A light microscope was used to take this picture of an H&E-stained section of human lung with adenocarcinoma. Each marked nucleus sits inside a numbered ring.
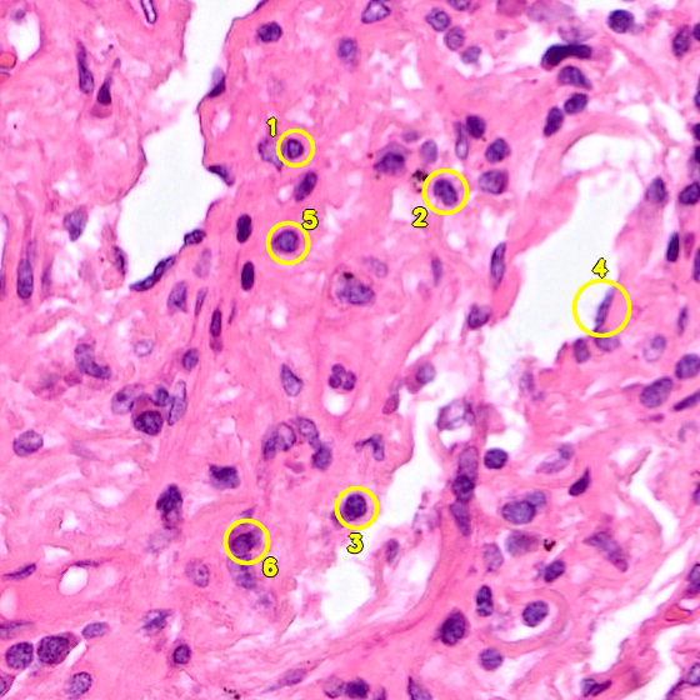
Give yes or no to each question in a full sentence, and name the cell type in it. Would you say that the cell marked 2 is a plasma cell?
No, the cell given the number 2 is a lymphocyte, so not a plasma cell.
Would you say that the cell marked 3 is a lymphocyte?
Yes, the cell to which number 3 refers is a lymphocyte.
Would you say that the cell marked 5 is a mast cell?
Yes, cell number 5 in this section is a mast cell.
